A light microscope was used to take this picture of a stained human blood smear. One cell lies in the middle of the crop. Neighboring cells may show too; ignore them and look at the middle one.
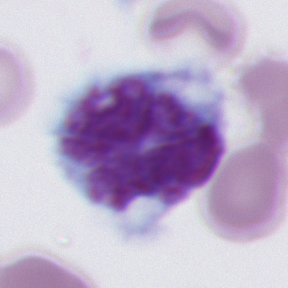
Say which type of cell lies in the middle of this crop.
monocyte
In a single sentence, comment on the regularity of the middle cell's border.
The edge of the cell is broken up by ragged stretches or by outward projections.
